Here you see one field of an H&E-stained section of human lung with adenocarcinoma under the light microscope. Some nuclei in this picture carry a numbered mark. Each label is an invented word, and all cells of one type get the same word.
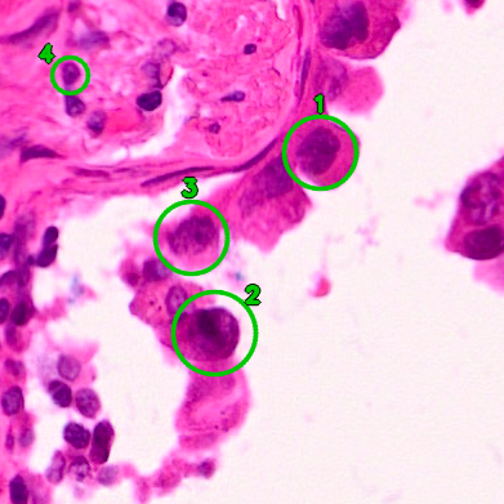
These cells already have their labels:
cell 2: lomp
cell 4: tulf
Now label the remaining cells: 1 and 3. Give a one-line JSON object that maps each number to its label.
{"1": "lomp", "3": "lomp"}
